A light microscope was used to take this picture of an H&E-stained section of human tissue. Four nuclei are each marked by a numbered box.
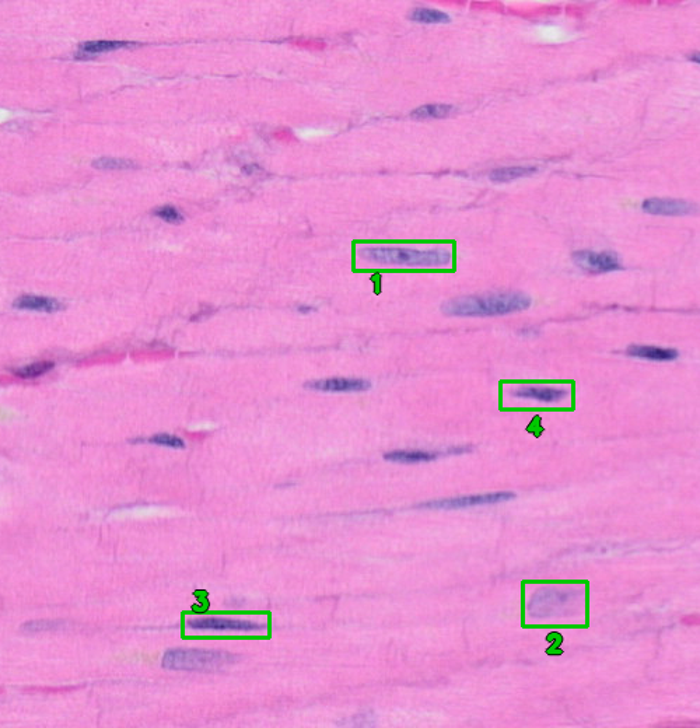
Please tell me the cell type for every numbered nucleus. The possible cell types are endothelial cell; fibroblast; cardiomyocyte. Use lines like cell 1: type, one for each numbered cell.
cell 1: cardiomyocyte
cell 2: cardiomyocyte
cell 3: endothelial cell
cell 4: endothelial cell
